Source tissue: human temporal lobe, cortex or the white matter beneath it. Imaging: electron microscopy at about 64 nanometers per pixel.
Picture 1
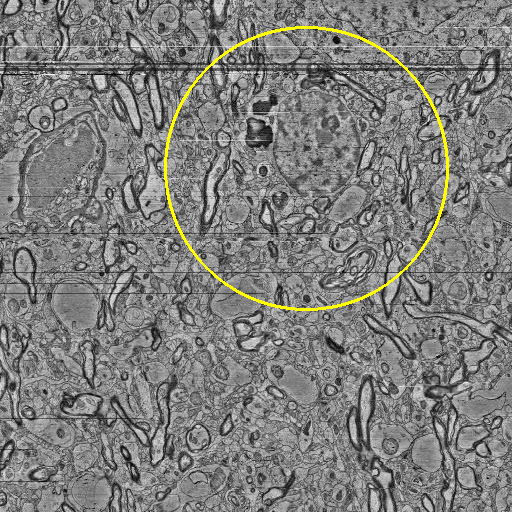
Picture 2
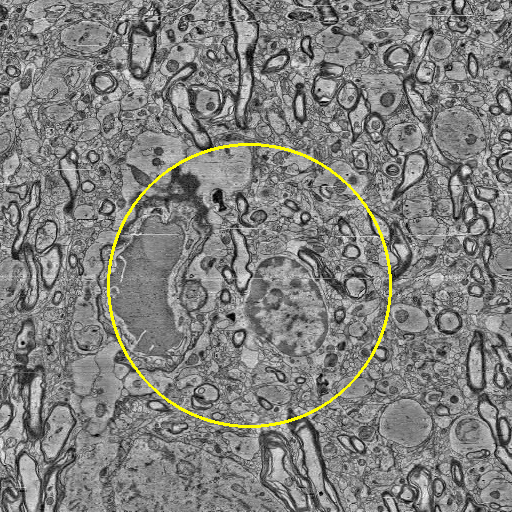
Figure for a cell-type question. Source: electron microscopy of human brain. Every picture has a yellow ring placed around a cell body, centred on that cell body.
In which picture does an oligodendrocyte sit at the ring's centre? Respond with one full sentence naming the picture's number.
The cell in the middle of the ring in picture 1 is the one sought.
